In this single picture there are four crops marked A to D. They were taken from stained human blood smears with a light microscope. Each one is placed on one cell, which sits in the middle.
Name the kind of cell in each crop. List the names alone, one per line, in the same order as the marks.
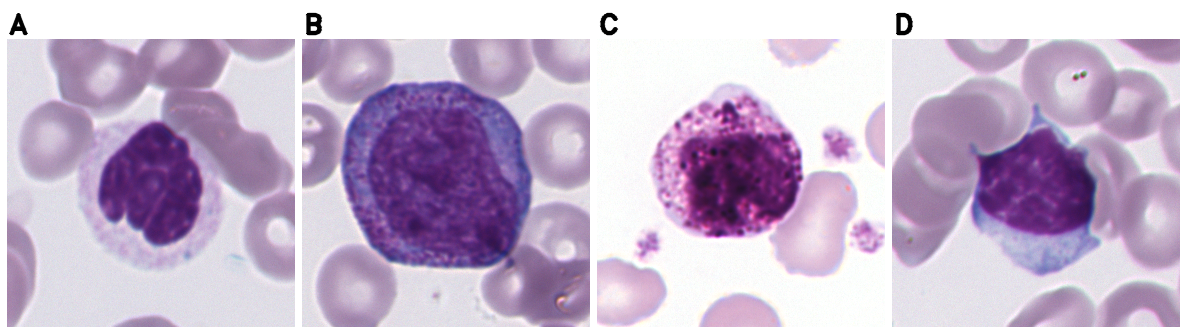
segmented neutrophil
promyelocyte
basophil
typical lymphocyte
